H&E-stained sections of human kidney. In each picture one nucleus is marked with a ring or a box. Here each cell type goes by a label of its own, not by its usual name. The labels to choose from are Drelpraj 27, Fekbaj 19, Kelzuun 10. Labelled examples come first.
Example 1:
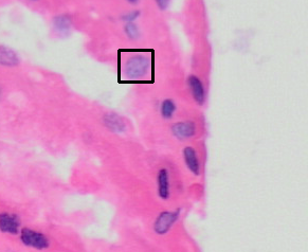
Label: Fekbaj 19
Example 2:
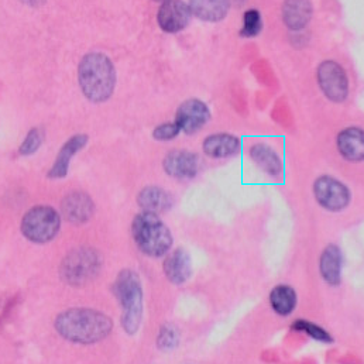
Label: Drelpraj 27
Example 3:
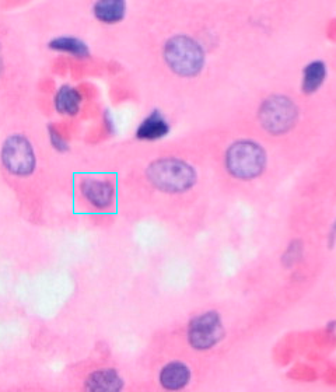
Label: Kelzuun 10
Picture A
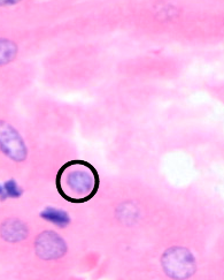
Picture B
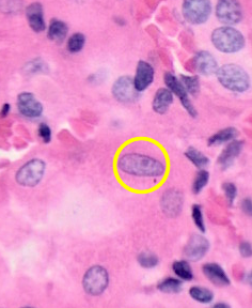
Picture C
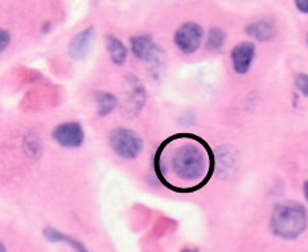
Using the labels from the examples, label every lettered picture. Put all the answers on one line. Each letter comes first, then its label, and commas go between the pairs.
A Kelzuun 10, B Kelzuun 10, C Drelpraj 27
